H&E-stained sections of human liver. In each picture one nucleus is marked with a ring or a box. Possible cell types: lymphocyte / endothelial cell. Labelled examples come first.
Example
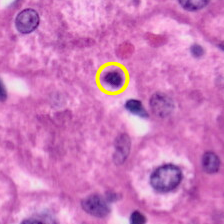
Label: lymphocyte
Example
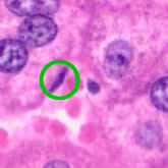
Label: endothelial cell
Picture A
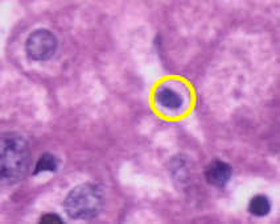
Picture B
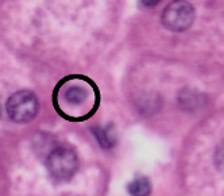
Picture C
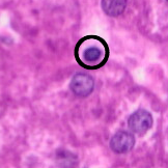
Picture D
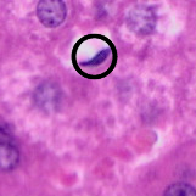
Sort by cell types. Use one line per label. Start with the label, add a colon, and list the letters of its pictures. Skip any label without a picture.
lymphocyte: A, B, C
endothelial cell: D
